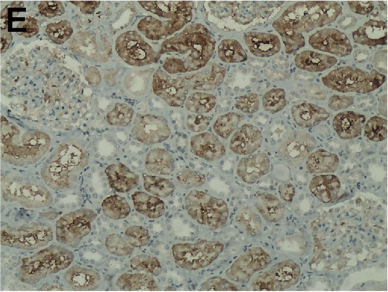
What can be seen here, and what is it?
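Renal cortex in which many tubules show brown staining of their epithelial cytoplasm, strongest toward the luminal side. The tubules are closely packed round cross-sections with small lumens, and the interstitium between them is pale and blue with scattered small nuclei. A glomerulus at the left is only faintly brown.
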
